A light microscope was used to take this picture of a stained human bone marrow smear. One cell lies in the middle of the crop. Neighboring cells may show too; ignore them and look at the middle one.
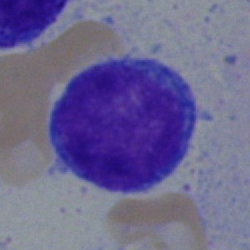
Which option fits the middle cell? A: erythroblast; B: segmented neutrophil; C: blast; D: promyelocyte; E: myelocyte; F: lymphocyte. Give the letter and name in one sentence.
Option C is the correct one; it names the central cell as a blast.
